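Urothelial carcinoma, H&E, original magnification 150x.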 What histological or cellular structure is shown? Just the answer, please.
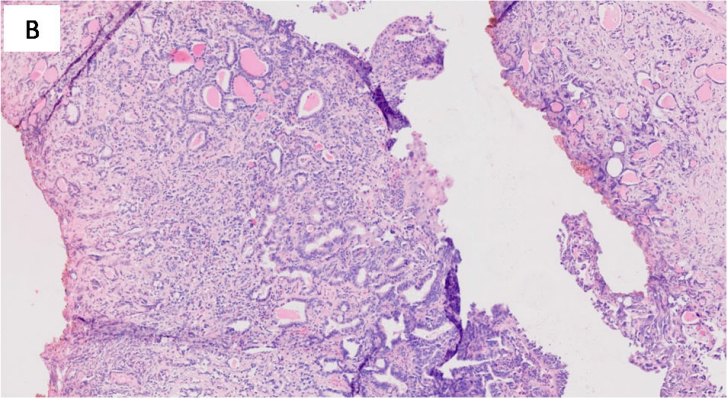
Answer: tubules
